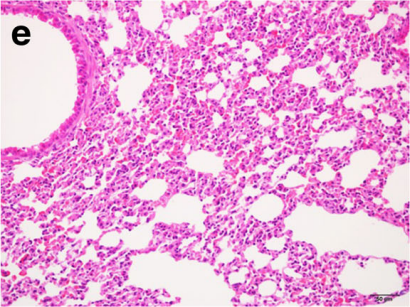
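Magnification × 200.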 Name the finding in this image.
Disordered structures in the lung tissue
